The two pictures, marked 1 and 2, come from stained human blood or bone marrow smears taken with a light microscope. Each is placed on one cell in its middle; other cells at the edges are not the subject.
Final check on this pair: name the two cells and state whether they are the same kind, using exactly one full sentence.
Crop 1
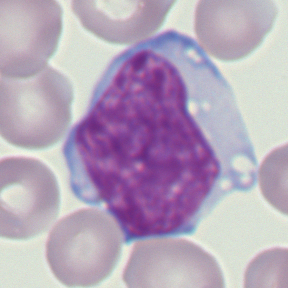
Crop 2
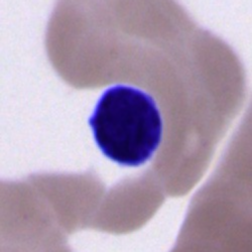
No, a blast is the subject of crop 1, and a lymphocyte is the subject of crop 2.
